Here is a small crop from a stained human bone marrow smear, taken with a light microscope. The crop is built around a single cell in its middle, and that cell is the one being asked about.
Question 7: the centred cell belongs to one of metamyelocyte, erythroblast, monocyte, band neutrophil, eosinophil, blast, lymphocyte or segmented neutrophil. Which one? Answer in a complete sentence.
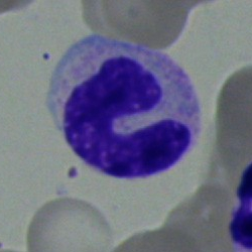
The cell shown in the center of this light-microscope crop is a band neutrophil.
